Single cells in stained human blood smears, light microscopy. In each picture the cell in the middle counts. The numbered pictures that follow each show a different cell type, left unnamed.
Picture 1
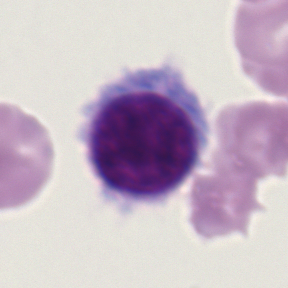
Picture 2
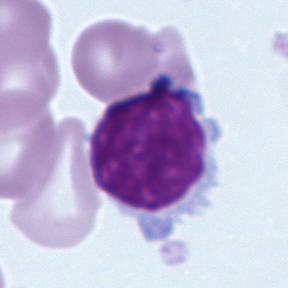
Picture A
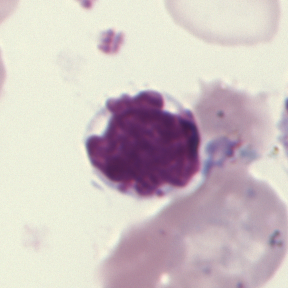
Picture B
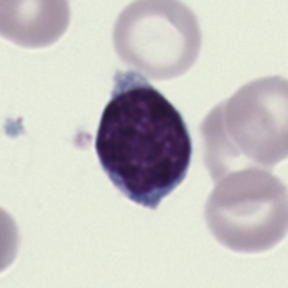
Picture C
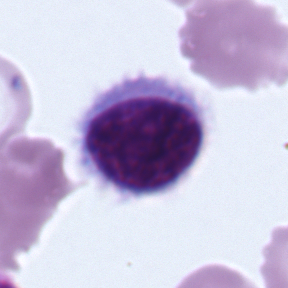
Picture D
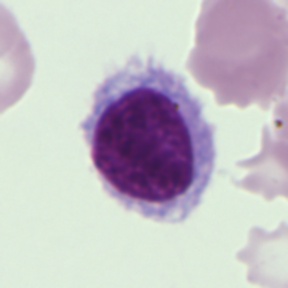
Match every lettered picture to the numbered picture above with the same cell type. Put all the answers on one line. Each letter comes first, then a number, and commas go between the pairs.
A 2, B 2, C 1, D 1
